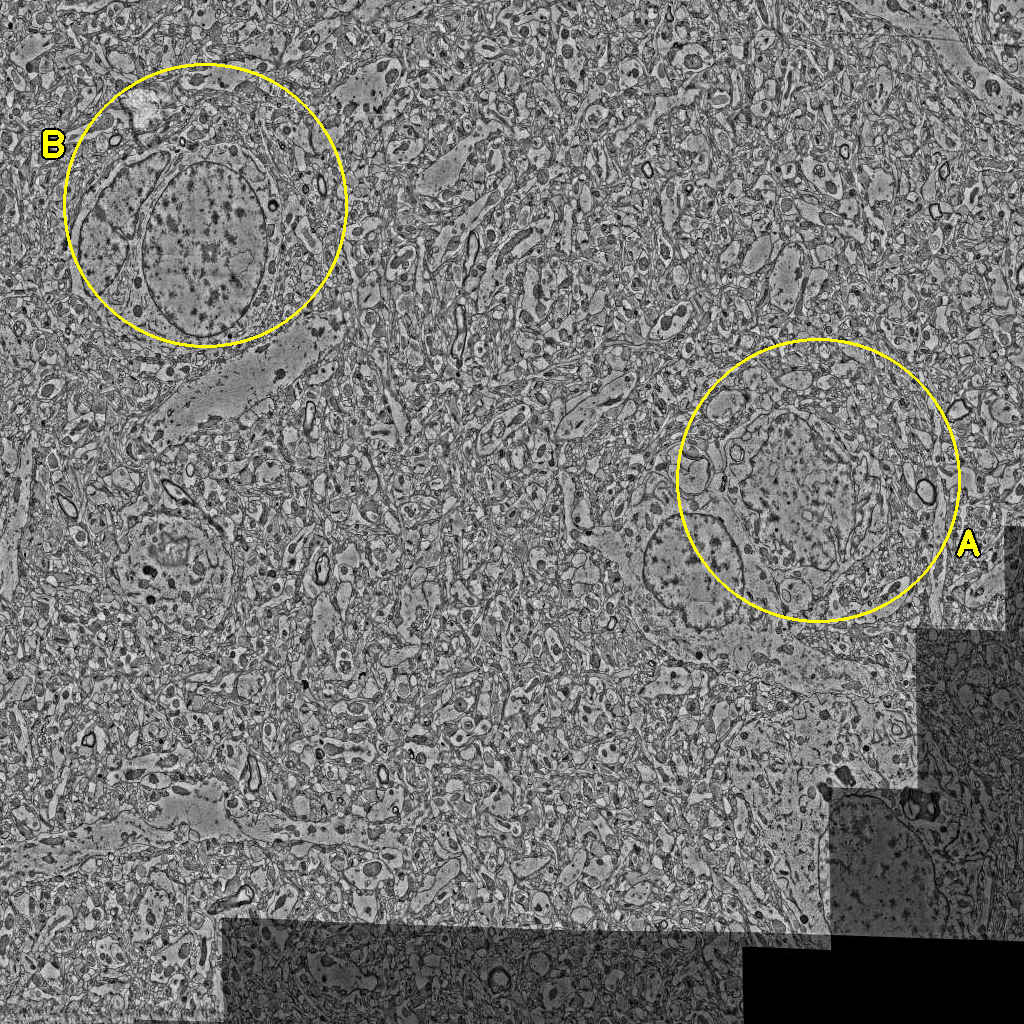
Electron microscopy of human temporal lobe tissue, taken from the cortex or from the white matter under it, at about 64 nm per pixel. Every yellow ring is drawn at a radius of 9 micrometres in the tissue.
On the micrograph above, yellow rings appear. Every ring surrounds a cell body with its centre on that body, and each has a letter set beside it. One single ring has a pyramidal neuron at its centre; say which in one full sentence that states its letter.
The answer is ring B, whose centre lies on the cell asked for.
